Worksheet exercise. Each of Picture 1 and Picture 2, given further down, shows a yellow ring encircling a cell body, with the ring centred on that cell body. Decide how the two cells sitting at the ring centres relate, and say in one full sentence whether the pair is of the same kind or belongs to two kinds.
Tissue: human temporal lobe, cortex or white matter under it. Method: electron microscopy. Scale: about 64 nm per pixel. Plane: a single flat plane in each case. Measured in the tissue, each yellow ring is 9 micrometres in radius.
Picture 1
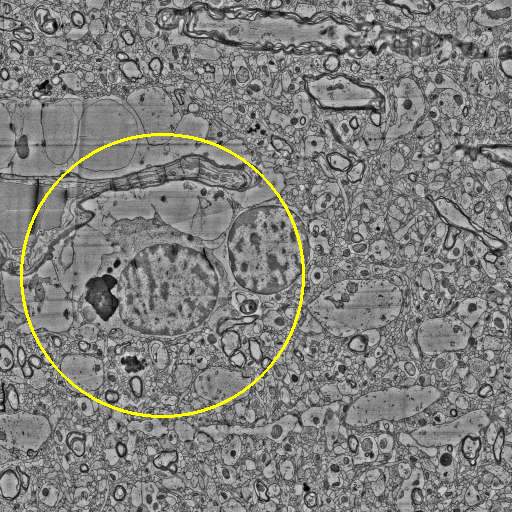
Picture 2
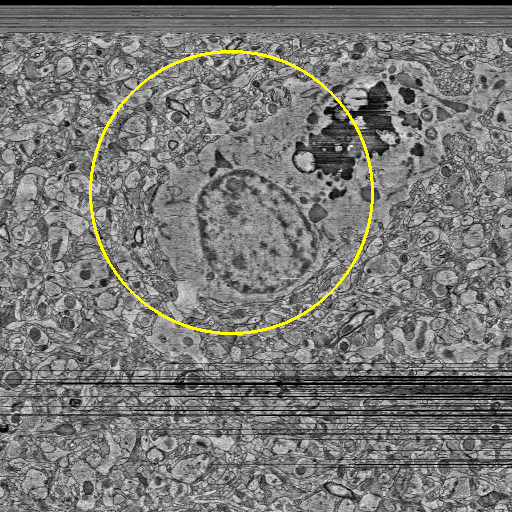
The cells at the ring centres in Picture 1 and Picture 2 belong to two kinds.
